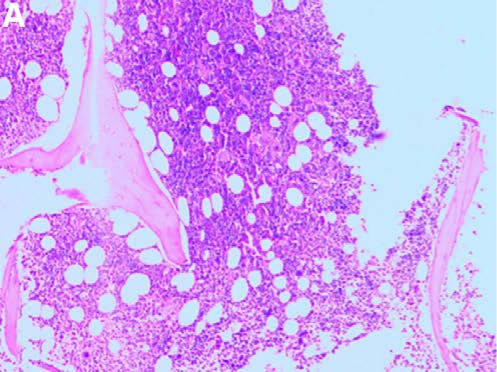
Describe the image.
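Bone marrow at low magnification, with bony trabeculae enclosing marrow spaces crowded with blood-forming cells. Thin pink trabeculae of bone run through the field and border the marrow spaces. These spaces are filled with densely packed small cells whose purple nuclei give a dense, speckled appearance. Round, clear fat vacuoles are interspersed among the cells but take up only a small part of the space. At the right edge, a narrower strip of marrow lies beside a trabecula and is less densely packed.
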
